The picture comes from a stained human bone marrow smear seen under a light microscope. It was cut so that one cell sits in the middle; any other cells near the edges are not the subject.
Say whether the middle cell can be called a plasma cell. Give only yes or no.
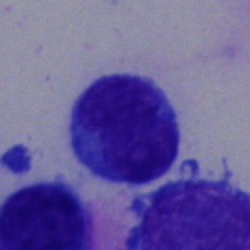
no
